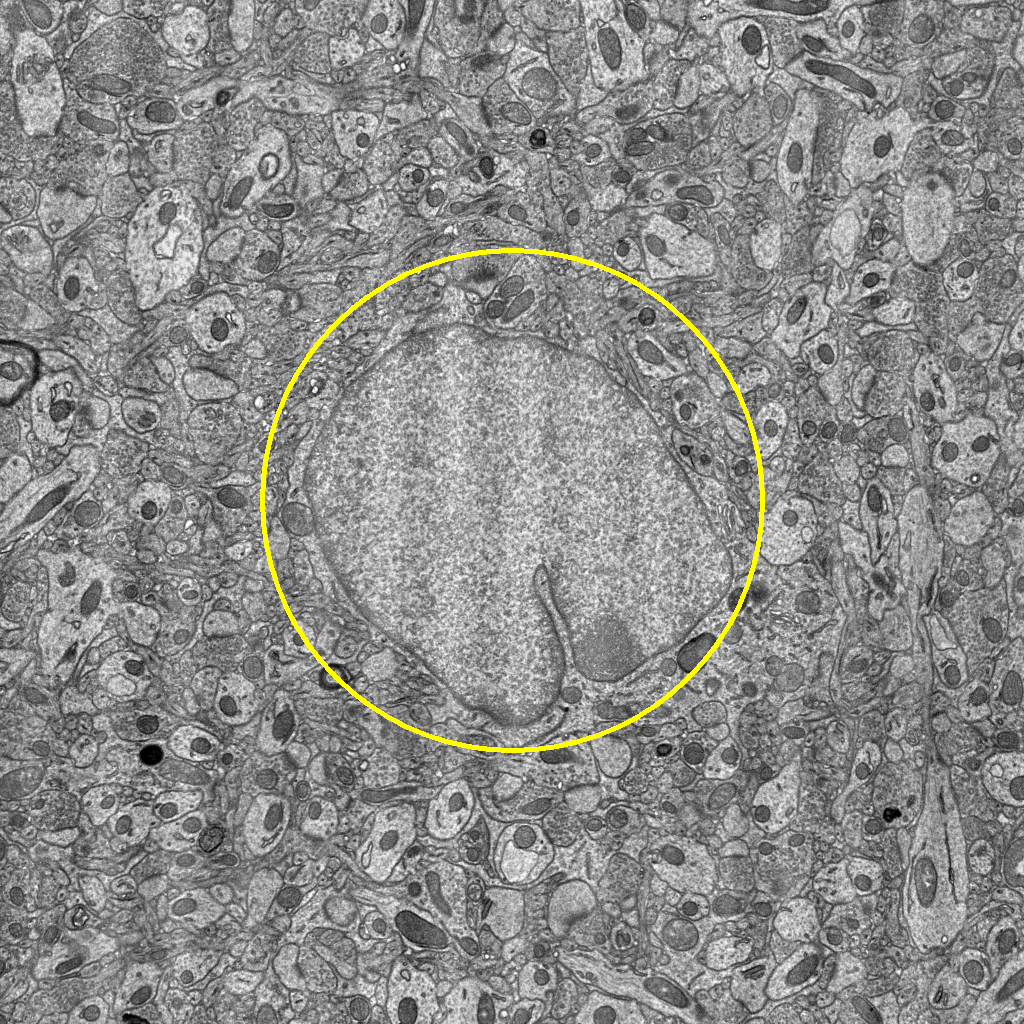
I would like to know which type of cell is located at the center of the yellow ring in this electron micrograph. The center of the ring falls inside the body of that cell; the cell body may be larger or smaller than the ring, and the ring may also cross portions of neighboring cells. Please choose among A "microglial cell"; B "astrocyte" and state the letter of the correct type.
B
